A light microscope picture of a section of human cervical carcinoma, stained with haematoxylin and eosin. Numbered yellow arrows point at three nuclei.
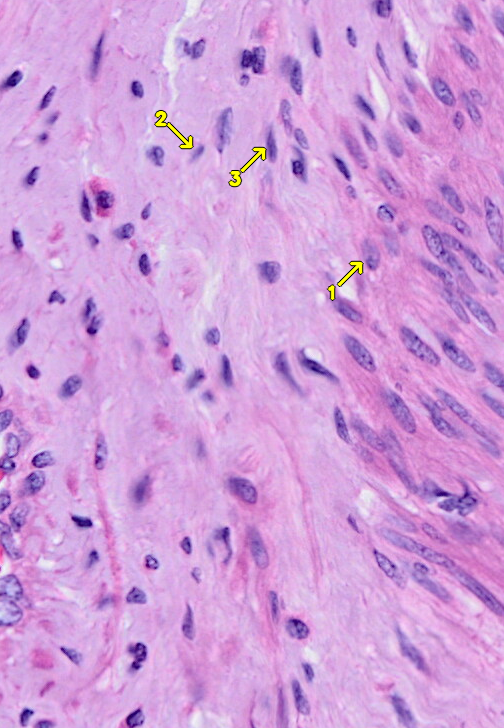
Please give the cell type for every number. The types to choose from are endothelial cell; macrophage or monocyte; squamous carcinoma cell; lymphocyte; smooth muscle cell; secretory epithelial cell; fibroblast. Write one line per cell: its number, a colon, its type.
1: smooth muscle cell
2: fibroblast
3: fibroblast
